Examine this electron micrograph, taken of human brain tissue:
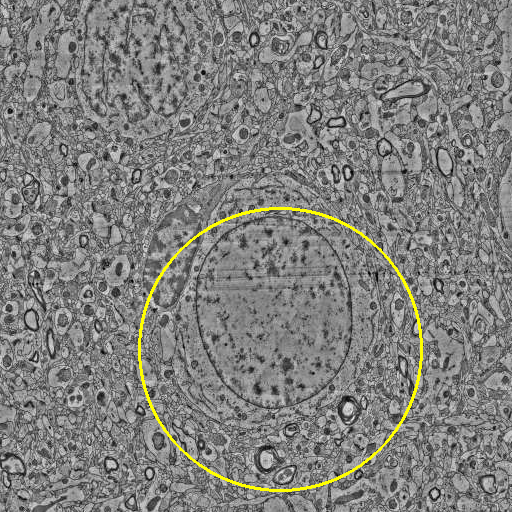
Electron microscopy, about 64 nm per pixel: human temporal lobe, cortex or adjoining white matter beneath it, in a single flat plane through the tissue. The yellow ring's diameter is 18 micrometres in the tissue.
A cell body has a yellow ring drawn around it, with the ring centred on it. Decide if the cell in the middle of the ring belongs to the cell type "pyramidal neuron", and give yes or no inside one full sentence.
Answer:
Yes, the cell at the centre of the yellow ring in this picture is of that type.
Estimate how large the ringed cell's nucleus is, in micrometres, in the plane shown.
In this plane, about 13 micrometres in length and 11 in width.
